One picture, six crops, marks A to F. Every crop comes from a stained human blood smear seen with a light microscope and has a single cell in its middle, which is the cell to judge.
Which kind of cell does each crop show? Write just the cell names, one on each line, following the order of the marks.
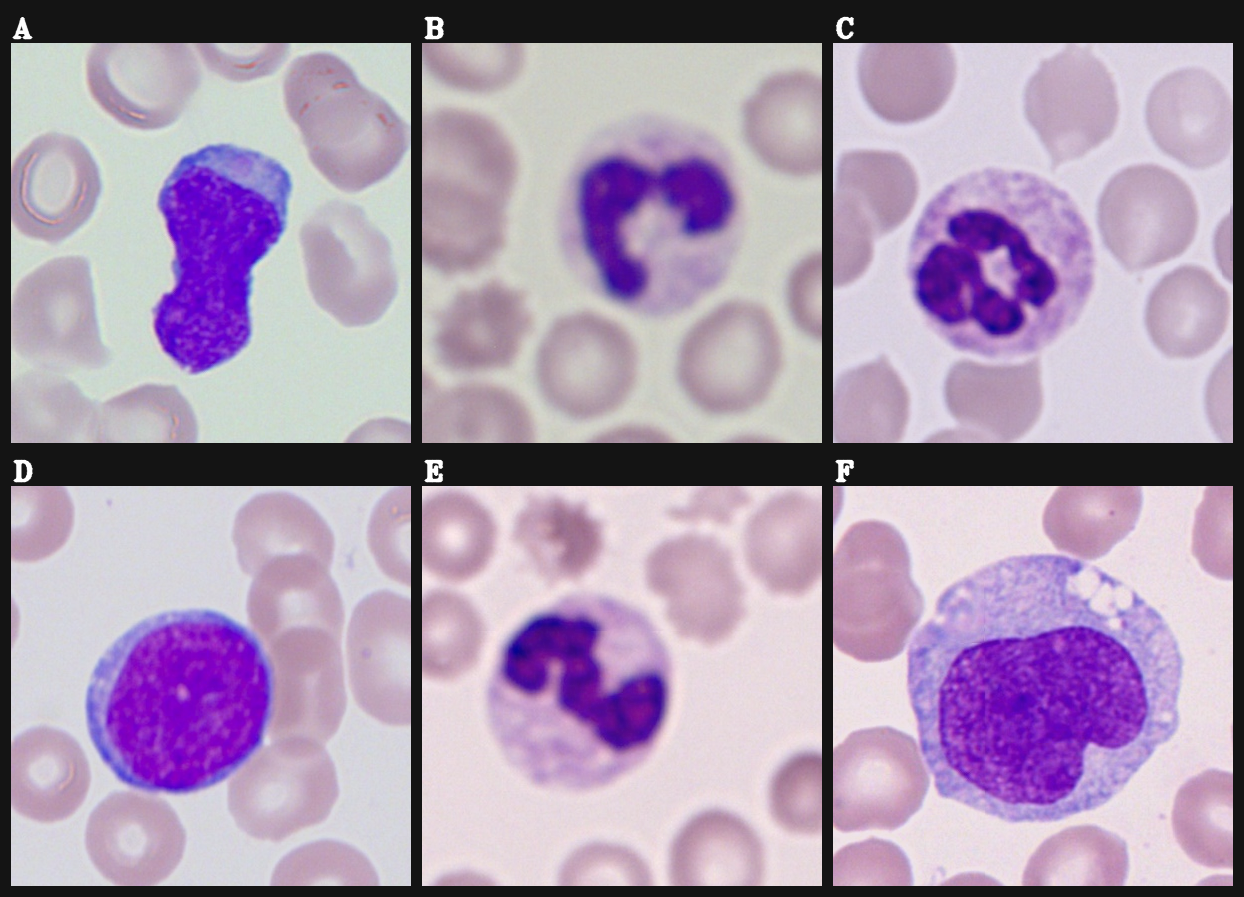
myeloblast
segmented neutrophil
segmented neutrophil
myeloblast
segmented neutrophil
monocyte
